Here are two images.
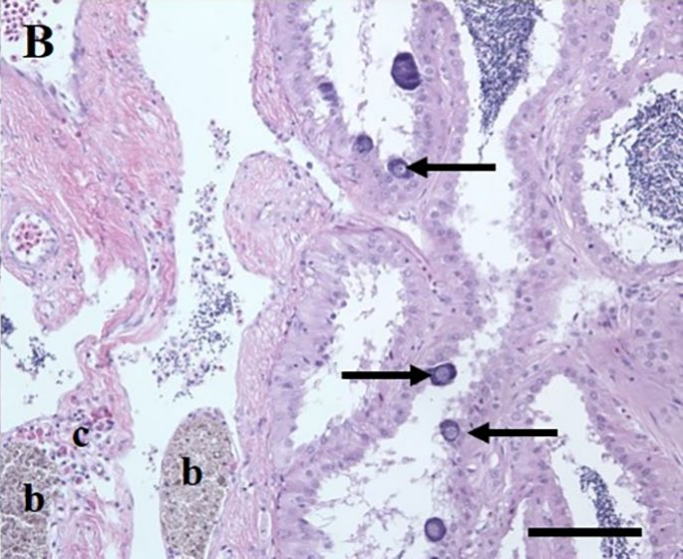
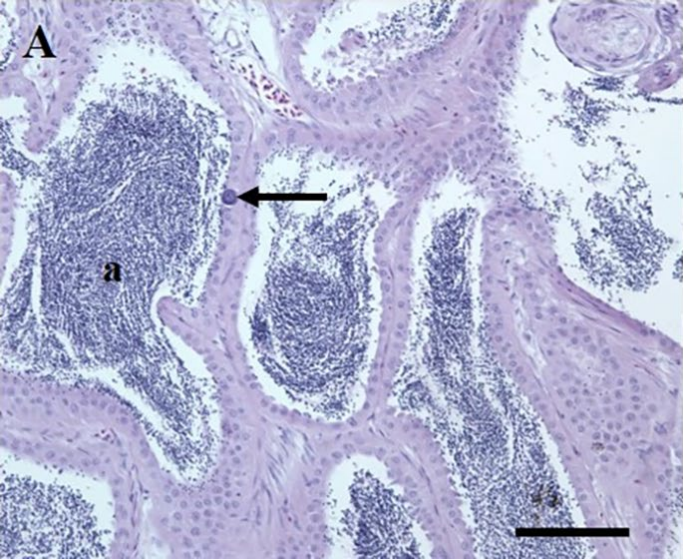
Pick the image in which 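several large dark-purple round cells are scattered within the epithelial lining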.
the first image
